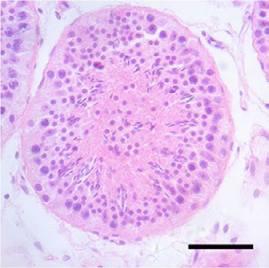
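This is a cross-section of a seminiferous tubule, with a thick wall of germ cells stacked in layers from the rim toward a central lumen. Round nuclei fill the outer and middle layers, while slender dark elongated heads point into the pale center, and a loose interstitial space with a few cells surrounds the tubule.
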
